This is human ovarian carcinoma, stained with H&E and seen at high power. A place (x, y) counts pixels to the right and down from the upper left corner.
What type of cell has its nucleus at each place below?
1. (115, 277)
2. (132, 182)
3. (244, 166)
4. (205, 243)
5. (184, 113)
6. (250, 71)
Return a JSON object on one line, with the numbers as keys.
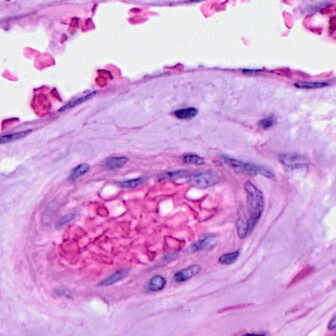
{"1": "endothelial cell", "2": "endothelial cell", "3": "fibroblast", "4": "endothelial cell", "5": "lymphocyte", "6": "endothelial cell"}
